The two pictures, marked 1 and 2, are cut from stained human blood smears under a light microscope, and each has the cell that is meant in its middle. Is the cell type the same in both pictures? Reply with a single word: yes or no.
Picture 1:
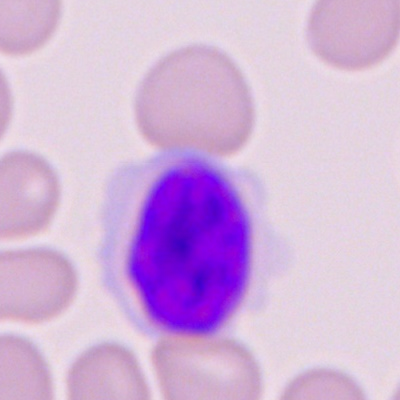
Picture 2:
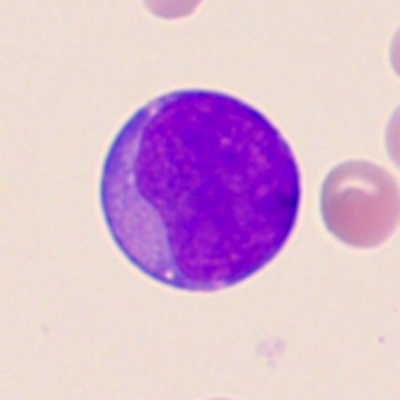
no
